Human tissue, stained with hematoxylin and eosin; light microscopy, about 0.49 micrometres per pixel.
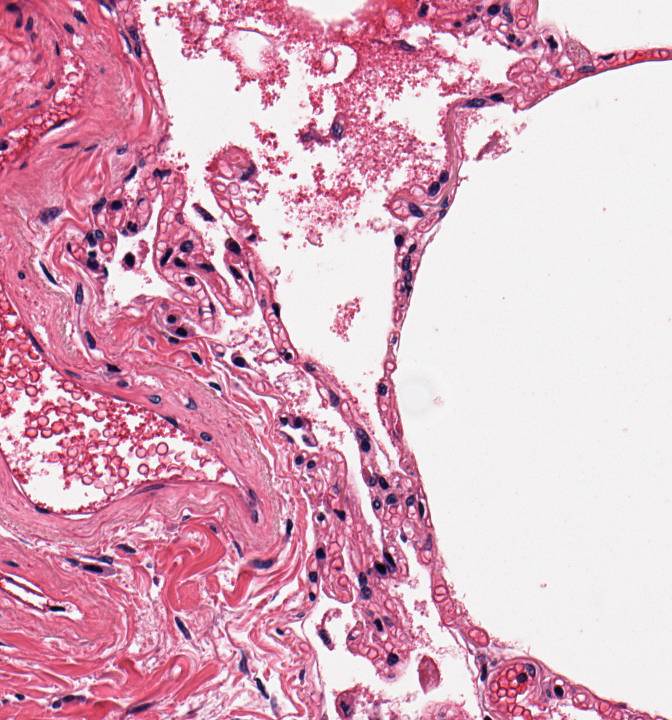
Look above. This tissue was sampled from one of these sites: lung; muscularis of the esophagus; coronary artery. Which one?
lung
